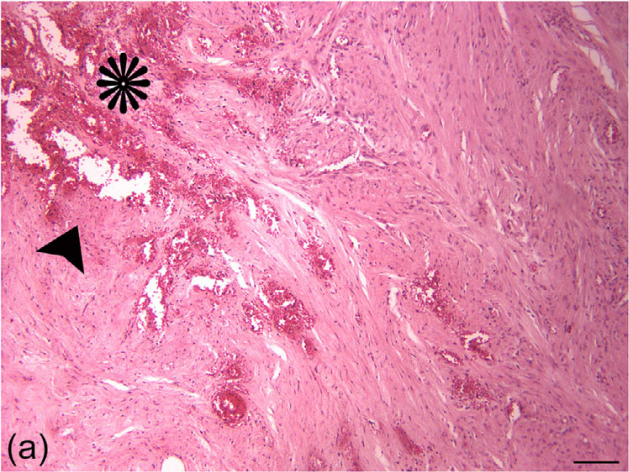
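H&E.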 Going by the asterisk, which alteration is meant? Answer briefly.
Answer: Haemorrhage.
